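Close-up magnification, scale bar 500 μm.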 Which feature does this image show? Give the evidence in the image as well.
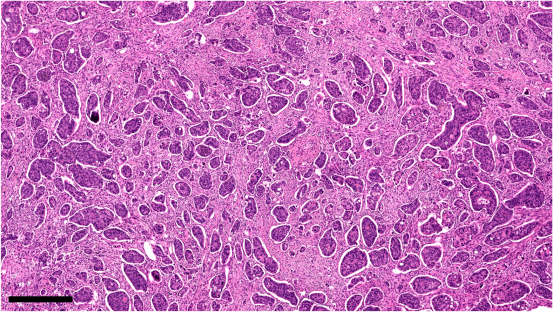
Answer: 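Many small purple cell clusters lie in pink stroma. Clear empty spaces rim many of the clusters, separating them from the stroma. On this evidence: retraction artifacts.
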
